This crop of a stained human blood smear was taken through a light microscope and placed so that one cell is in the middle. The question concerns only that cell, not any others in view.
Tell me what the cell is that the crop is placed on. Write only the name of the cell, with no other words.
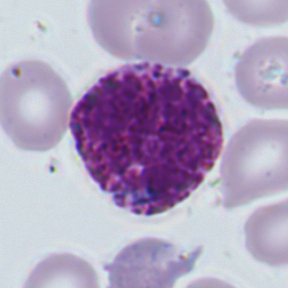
basophil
